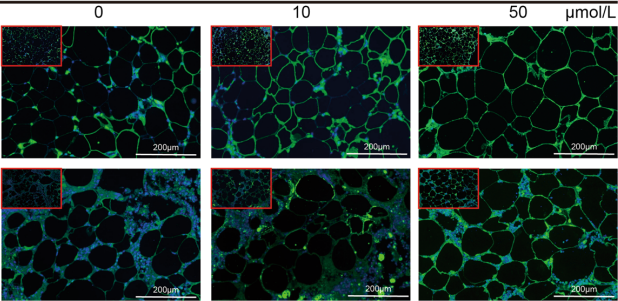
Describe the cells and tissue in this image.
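This is fat tissue made mostly of large adipocytes. These are round to polygonal cells whose thin rims glow green while their interiors, filled by a single lipid droplet, stay dark. Blue nuclei lie flattened at the cell edges or in the spaces between the fat cells. In some fields many small blue nuclei crowd together between the adipocytes, and the fat cells there vary more in size and are less tightly packed. Elsewhere the adipocytes are closely packed, with only a thin green network between them.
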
